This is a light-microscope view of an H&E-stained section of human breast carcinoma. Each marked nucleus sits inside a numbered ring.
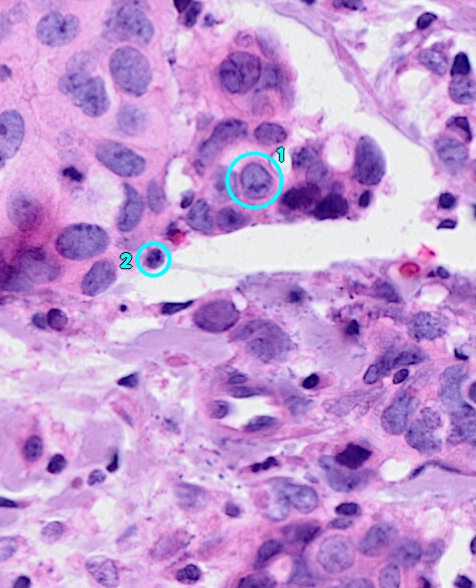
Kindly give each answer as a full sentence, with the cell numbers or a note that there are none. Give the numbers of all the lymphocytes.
None but cell 2 among the numbered cells is a lymphocyte.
